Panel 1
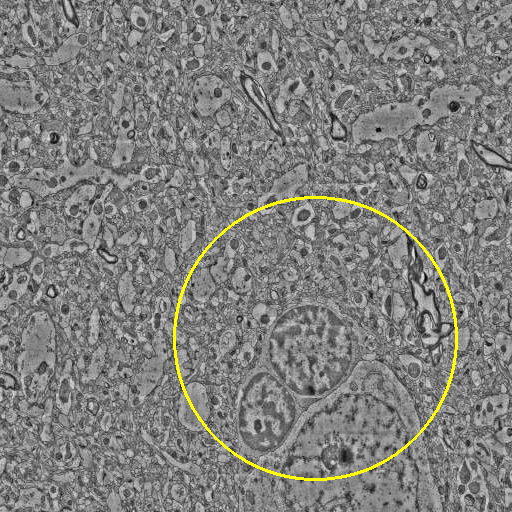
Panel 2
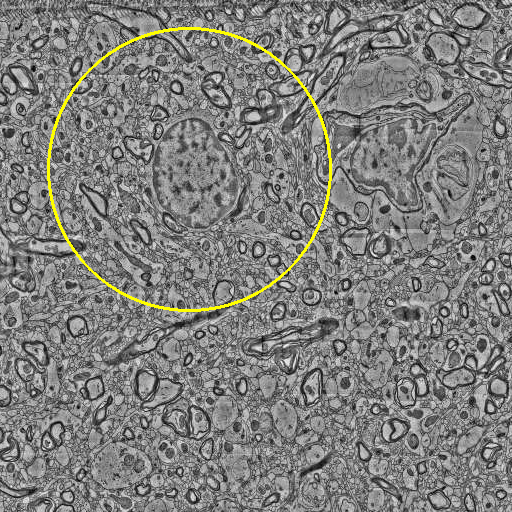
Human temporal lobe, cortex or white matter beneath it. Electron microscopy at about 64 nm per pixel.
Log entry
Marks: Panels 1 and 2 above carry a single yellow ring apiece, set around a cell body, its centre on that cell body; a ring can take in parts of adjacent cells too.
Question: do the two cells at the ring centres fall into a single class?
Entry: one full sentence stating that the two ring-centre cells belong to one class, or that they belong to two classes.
The two ring-centre cells in Panels 1 and 2 belong to one class.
